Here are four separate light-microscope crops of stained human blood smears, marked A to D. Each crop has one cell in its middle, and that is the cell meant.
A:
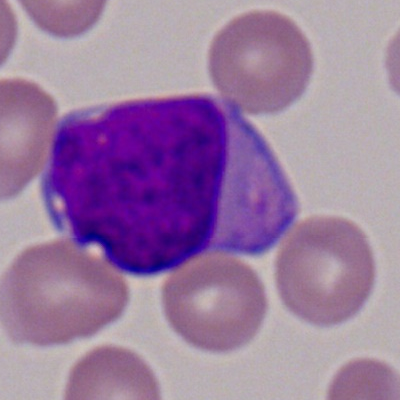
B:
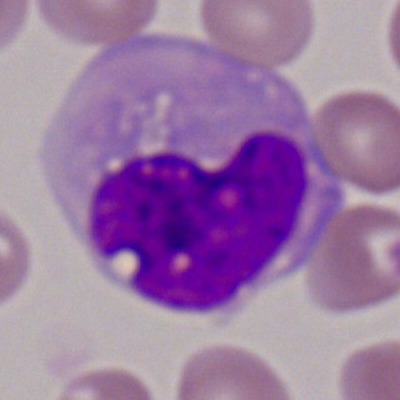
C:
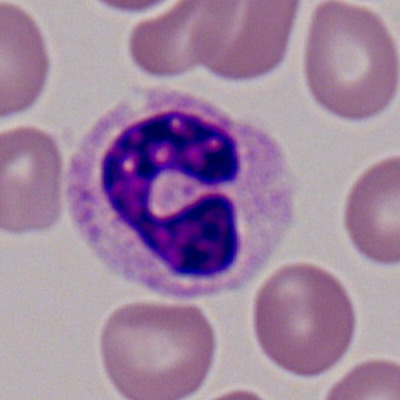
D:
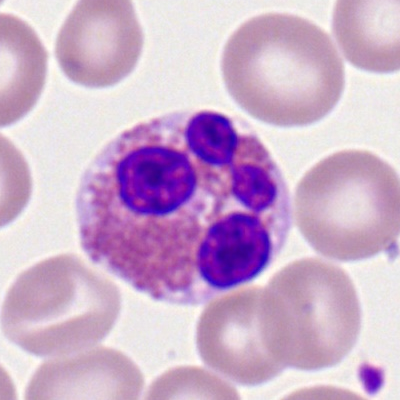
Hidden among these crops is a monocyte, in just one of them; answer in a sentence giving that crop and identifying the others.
Crop B is a monocyte and, for the others, crop A is a myeloblast, crop C is a segmented neutrophil and crop D is an eosinophil.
